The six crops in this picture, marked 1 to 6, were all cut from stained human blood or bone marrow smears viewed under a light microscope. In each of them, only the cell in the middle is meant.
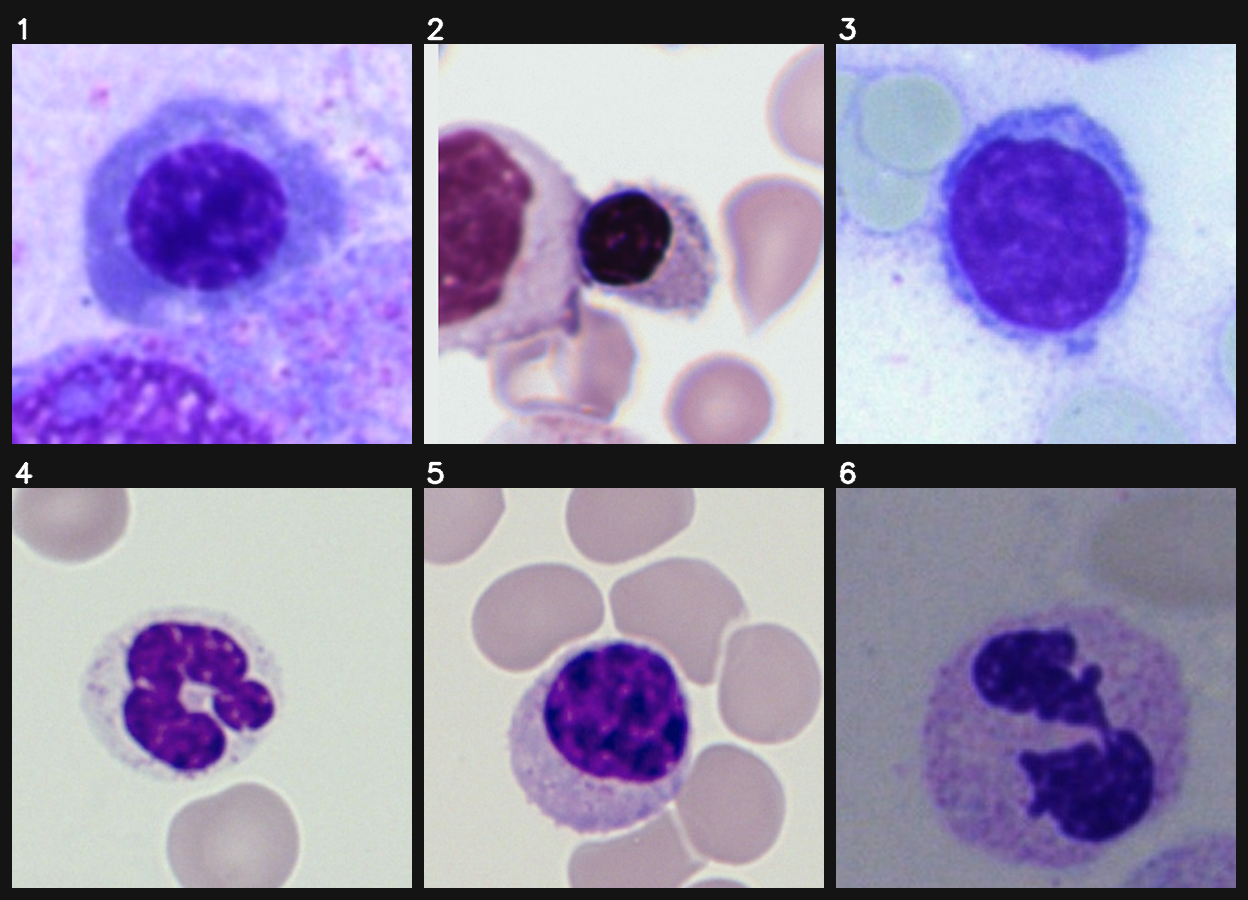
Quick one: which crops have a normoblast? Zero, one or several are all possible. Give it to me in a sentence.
The central cells of crops 1 and 2 are identified as normoblasts.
